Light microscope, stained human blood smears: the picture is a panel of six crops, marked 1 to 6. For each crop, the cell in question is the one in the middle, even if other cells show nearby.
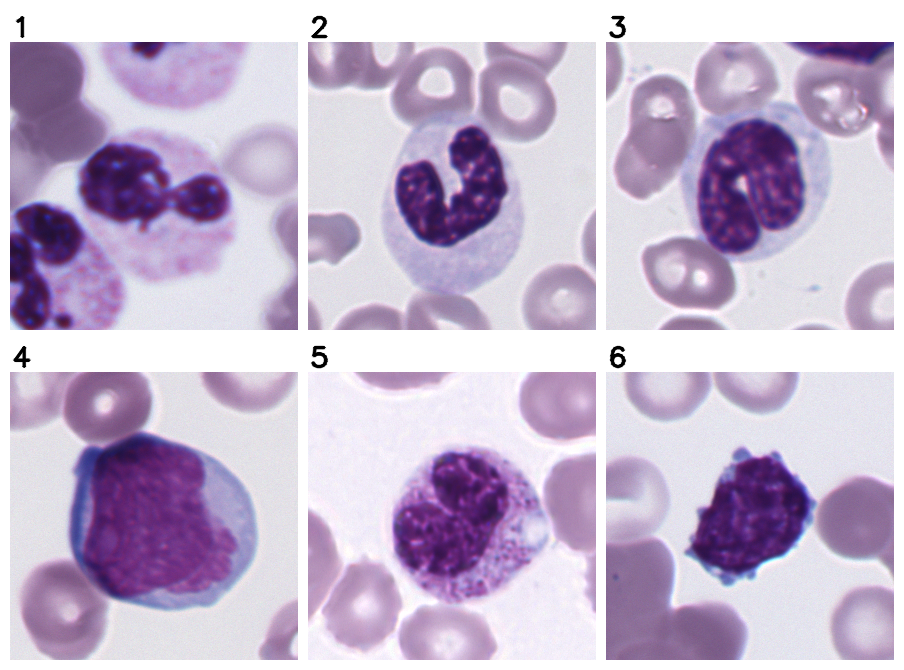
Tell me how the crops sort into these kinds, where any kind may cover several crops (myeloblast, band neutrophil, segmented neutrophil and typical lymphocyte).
1: segmented neutrophil
2: band neutrophil
3: band neutrophil
4: myeloblast
5: band neutrophil
6: typical lymphocyte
